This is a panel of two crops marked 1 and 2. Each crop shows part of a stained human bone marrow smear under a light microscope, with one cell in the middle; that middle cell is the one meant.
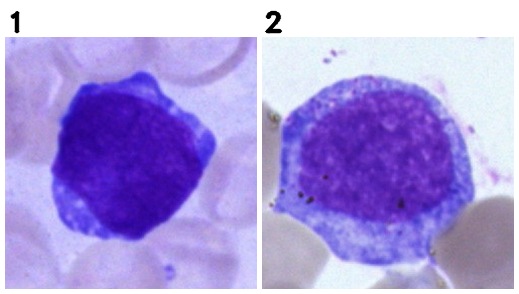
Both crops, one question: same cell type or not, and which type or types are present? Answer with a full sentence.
No, crop 1 is where a blast is, and crop 2 is where a promyelocyte is.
